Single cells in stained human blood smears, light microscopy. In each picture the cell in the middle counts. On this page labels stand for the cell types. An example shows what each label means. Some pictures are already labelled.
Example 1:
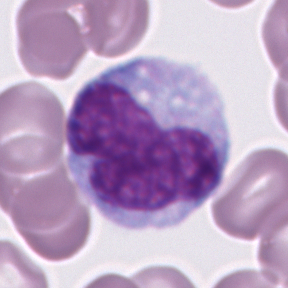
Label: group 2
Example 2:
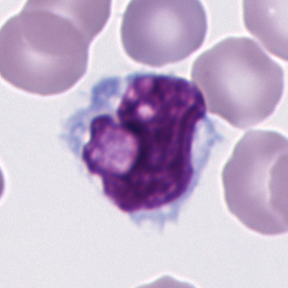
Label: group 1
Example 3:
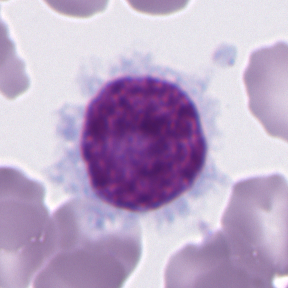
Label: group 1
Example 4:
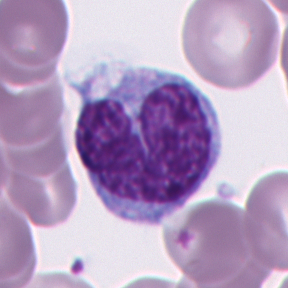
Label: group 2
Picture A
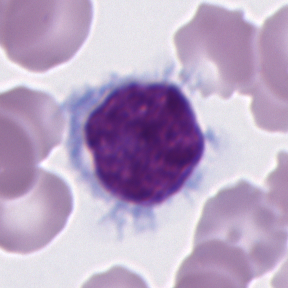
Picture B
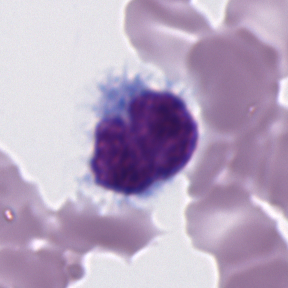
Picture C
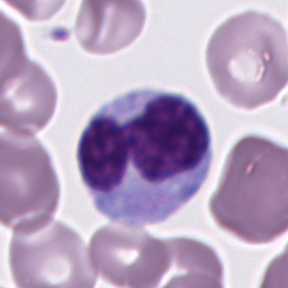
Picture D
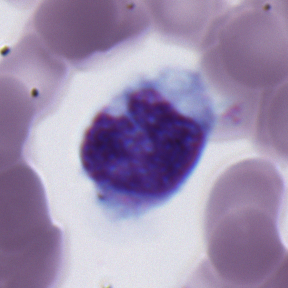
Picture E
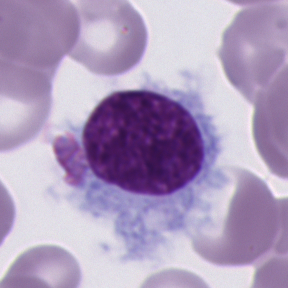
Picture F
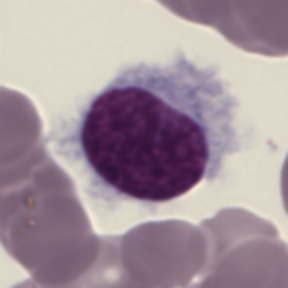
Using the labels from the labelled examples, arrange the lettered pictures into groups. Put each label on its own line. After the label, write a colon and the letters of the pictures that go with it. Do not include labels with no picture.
group 2: C, D
group 1: A, B, E, F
